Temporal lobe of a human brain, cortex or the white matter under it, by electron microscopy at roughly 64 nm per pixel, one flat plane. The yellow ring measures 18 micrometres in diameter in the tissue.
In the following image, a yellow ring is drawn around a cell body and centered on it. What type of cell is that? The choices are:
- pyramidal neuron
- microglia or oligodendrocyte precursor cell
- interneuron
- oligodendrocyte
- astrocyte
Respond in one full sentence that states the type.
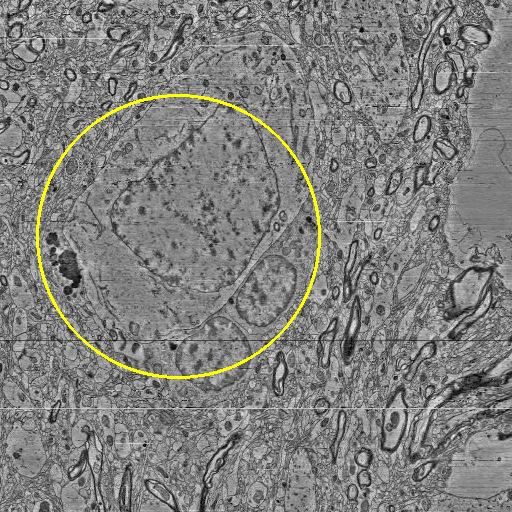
The cell at the center of the yellow ring in the image is an interneuron.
